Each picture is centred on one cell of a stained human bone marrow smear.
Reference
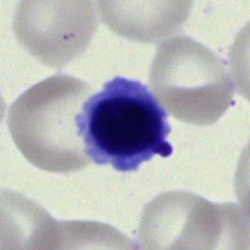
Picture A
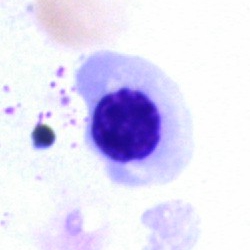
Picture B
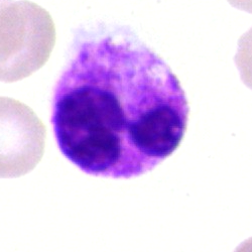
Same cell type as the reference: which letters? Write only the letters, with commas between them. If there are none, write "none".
A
